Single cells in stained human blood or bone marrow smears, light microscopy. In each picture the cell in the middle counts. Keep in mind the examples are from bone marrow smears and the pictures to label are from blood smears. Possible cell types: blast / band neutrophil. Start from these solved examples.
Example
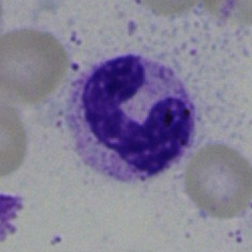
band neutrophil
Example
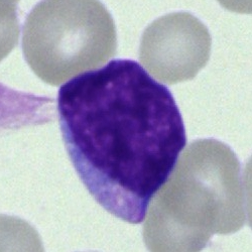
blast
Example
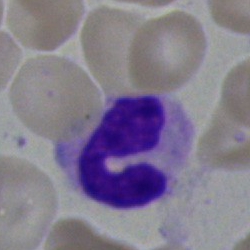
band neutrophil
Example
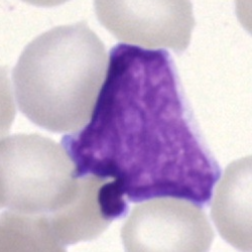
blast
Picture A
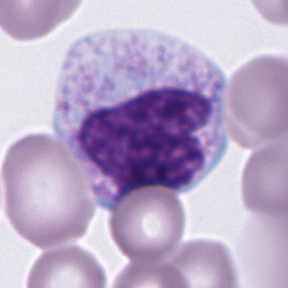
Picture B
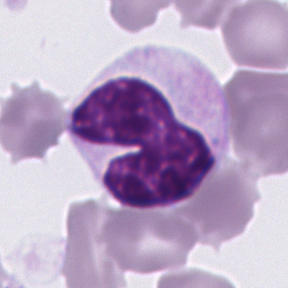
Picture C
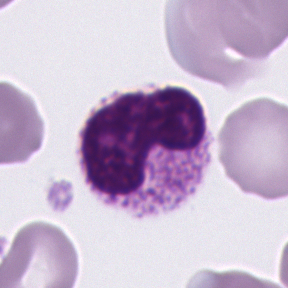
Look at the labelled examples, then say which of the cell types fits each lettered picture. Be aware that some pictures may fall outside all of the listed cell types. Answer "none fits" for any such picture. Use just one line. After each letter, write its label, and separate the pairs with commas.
A band neutrophil, B band neutrophil, C band neutrophil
